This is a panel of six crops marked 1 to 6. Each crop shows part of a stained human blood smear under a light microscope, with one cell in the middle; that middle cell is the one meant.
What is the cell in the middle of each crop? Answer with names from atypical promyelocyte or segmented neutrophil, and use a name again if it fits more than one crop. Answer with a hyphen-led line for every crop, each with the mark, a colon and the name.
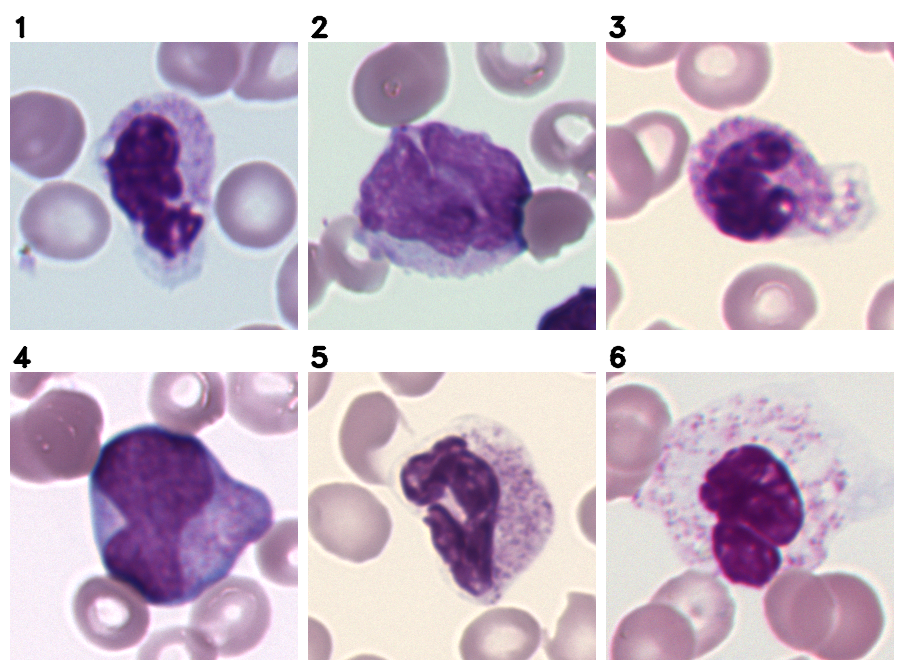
- 1: segmented neutrophil
- 2: atypical promyelocyte
- 3: segmented neutrophil
- 4: atypical promyelocyte
- 5: segmented neutrophil
- 6: segmented neutrophil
